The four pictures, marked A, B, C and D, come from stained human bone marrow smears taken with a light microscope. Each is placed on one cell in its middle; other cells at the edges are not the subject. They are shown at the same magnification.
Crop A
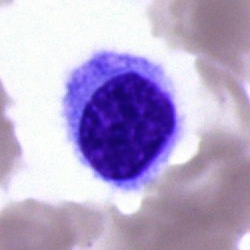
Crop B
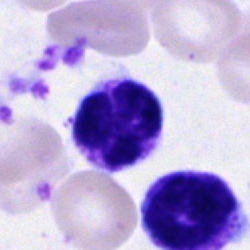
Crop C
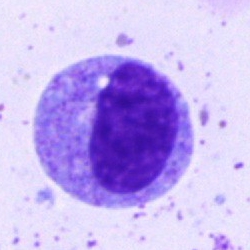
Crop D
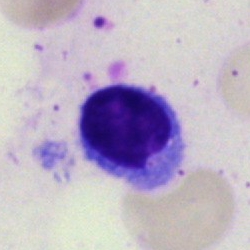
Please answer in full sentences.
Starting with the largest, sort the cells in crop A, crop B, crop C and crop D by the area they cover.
From the largest down, the order is C, A, D, B.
